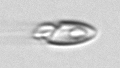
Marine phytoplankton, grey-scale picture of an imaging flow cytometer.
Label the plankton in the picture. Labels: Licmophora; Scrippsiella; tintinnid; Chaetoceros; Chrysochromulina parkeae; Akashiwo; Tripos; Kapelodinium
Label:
Kapelodinium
